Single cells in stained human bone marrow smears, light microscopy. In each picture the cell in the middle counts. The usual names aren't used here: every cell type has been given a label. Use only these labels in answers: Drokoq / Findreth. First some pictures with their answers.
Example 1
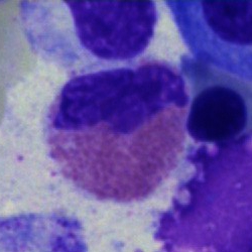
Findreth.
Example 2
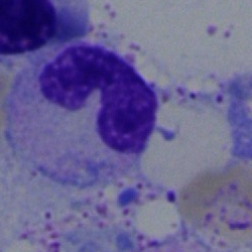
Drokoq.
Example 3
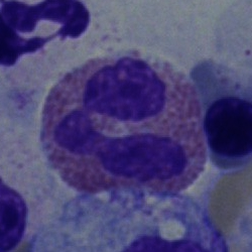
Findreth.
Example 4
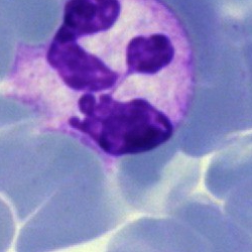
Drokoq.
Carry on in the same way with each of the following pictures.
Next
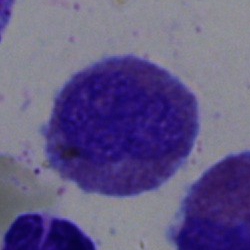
Findreth.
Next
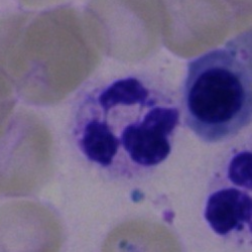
Drokoq.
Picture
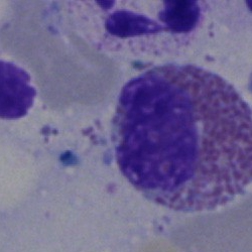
Findreth.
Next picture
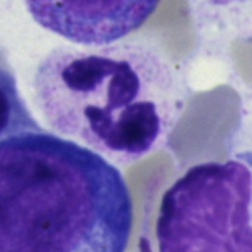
Drokoq.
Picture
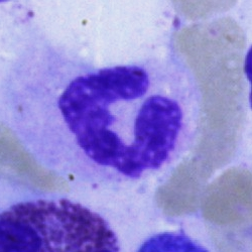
Drokoq.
